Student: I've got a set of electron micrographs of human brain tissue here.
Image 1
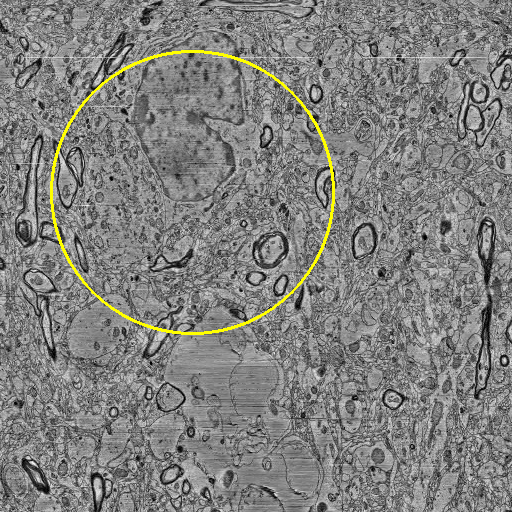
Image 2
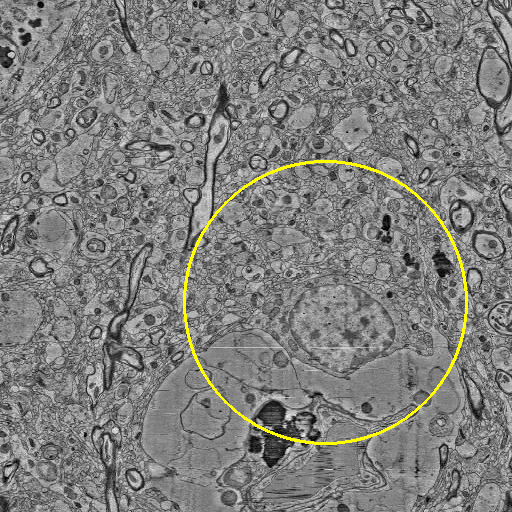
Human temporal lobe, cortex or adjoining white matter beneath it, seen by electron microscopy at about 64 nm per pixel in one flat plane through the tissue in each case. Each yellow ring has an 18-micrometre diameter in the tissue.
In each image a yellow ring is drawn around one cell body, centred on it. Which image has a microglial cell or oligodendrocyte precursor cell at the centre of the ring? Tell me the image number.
1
